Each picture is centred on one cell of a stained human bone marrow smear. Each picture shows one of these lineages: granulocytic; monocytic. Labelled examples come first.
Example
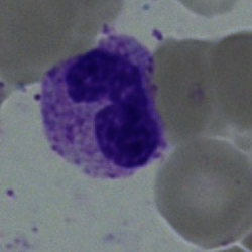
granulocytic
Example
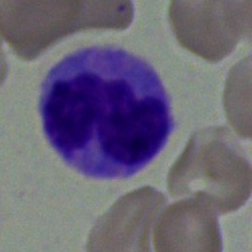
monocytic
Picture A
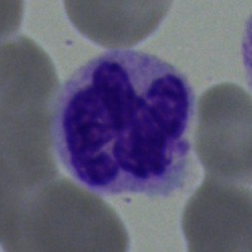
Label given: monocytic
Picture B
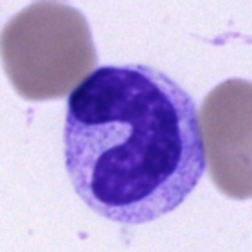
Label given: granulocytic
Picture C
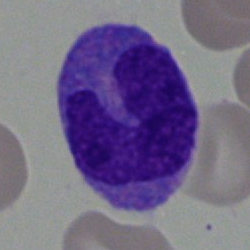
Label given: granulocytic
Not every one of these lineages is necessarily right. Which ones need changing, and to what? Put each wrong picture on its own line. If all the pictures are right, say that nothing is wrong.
C should be monocytic, not granulocytic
